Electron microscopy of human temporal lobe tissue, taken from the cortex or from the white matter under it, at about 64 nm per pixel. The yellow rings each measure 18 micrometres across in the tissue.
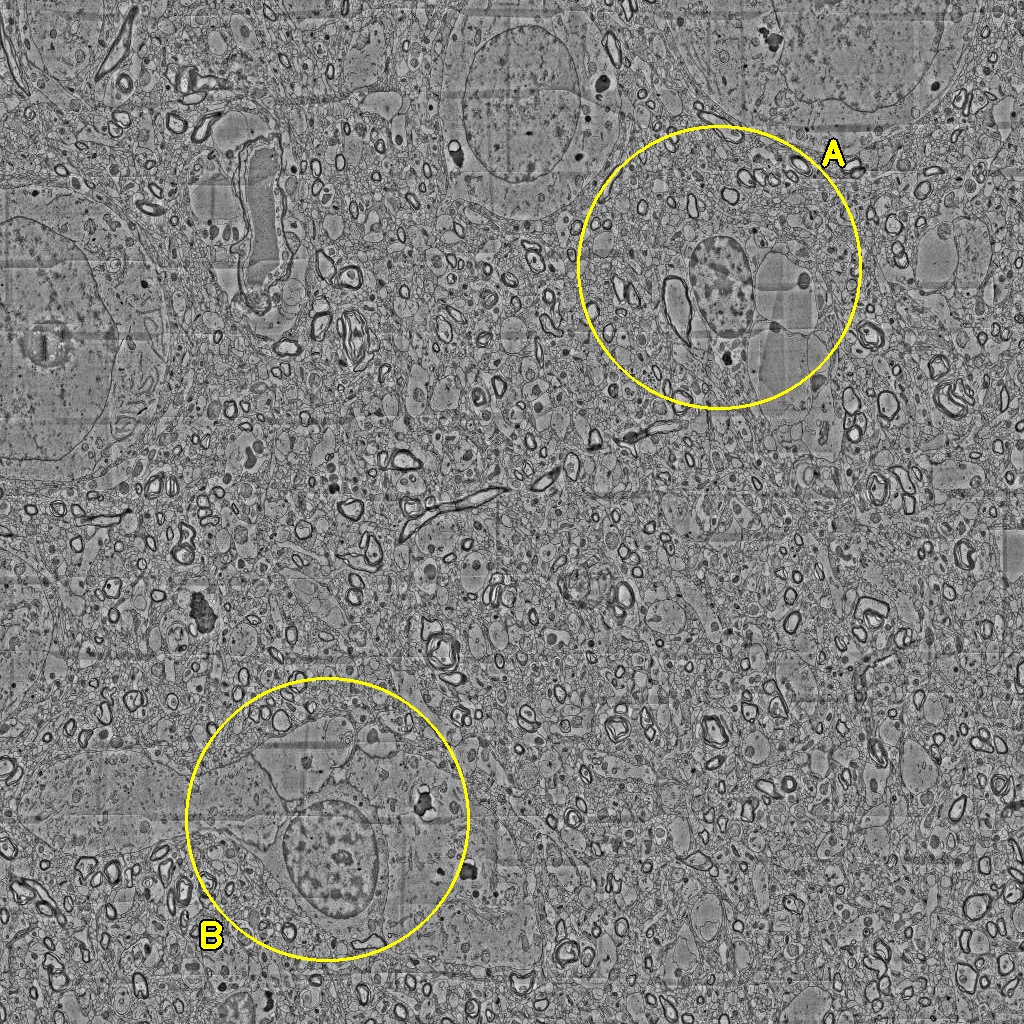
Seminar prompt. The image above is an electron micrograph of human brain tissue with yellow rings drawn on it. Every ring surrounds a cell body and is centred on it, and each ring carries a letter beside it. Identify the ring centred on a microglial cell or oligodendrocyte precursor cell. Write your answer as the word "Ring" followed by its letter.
Ring A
